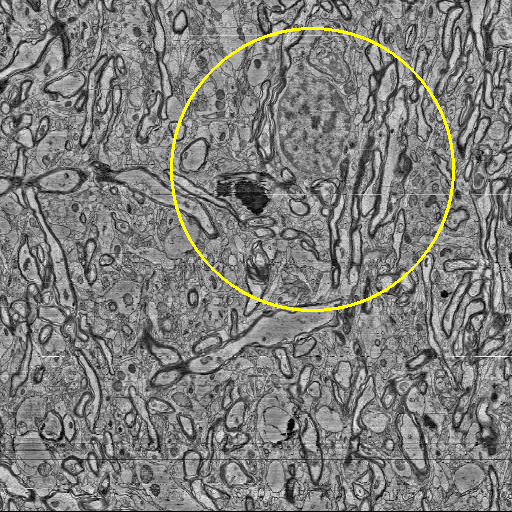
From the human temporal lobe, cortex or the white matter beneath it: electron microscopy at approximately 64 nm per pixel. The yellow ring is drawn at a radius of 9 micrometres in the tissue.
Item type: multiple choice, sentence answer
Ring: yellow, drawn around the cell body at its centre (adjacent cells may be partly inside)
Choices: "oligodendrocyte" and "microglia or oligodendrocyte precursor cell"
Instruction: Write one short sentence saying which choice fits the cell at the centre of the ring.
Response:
This ring is drawn around an oligodendrocyte.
